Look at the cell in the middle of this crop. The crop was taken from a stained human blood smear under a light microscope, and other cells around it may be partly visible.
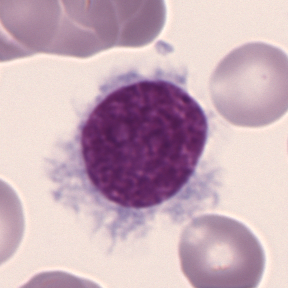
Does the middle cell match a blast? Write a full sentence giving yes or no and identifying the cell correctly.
No, wrong label: the middle cell is a hairy cell instead of a blast.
